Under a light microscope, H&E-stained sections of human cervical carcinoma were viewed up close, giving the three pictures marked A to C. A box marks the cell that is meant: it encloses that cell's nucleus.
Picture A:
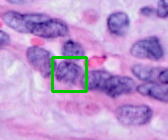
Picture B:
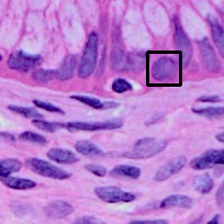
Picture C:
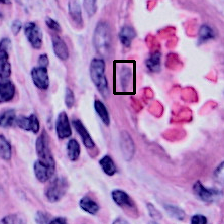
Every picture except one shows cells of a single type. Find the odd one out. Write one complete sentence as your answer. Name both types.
Unlike the rest, which show endothelial cells, picture B shows a secretory epithelial cell.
